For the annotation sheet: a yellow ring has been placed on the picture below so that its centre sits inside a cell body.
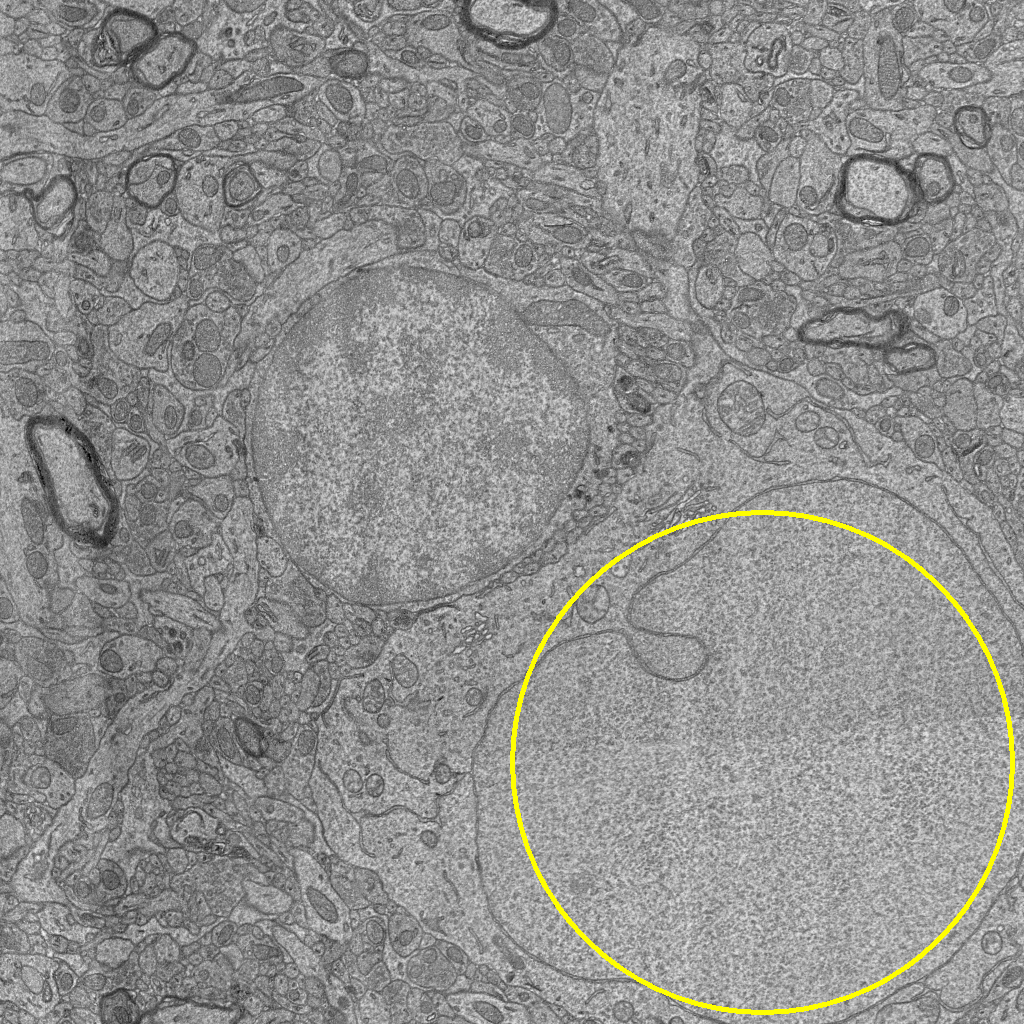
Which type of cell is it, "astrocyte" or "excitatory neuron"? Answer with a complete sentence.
The cell at the ring's centre is an excitatory neuron.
